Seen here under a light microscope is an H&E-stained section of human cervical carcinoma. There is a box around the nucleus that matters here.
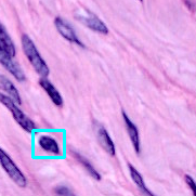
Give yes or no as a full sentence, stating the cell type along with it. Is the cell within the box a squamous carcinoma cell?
No, the cell within the box is classed as a lymphocyte, not a squamous carcinoma cell.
